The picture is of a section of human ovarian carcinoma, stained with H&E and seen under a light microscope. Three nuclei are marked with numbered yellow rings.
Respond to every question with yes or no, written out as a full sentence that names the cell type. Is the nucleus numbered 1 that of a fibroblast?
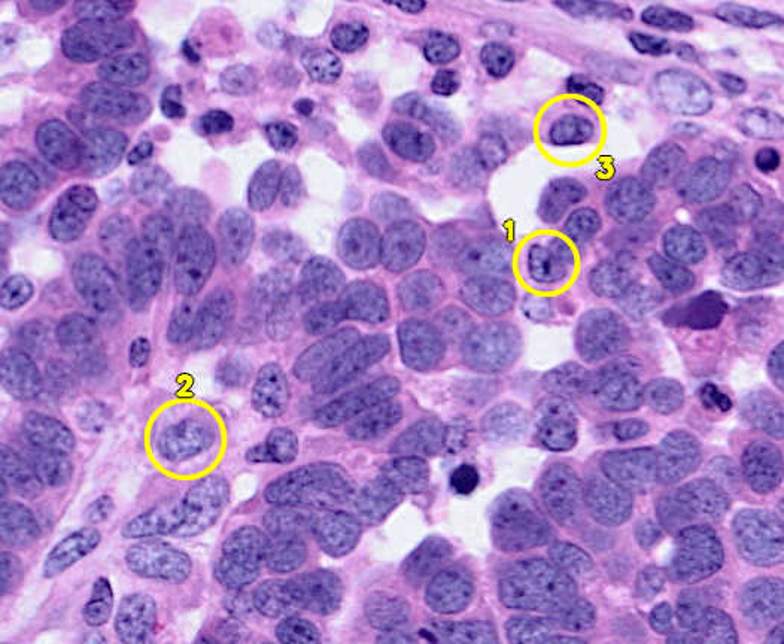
No, the cell carrying number 1 is a macrophage or monocyte, not a fibroblast.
